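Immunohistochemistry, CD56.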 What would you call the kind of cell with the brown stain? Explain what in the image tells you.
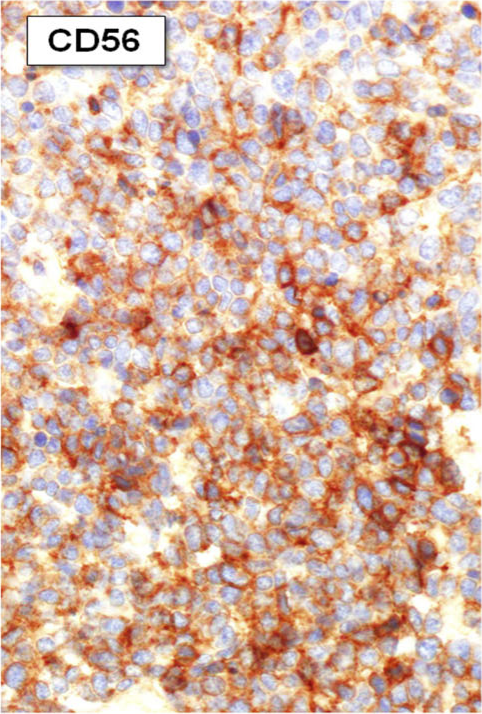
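Tumor cells. Densely packed sheet of small cells with little cytoplasm. Round to oval nuclei with fine chromatin crowd the field. Brown stain outlines the membranes of most cells across the field.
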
